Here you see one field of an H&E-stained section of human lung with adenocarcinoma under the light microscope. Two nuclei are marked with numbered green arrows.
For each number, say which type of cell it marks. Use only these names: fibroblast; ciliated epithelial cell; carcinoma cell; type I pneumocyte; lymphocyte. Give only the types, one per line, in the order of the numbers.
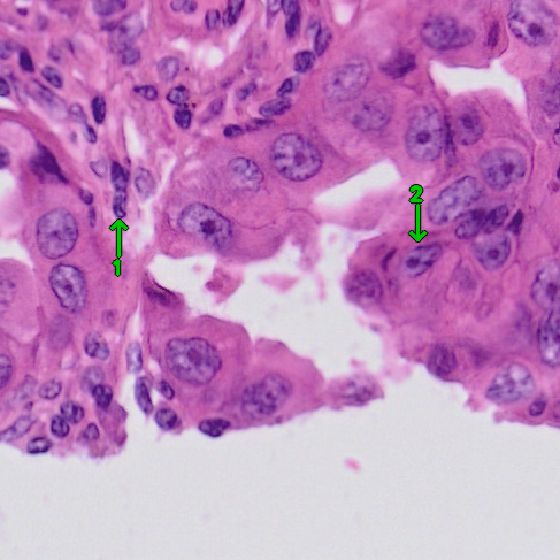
lymphocyte
carcinoma cell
